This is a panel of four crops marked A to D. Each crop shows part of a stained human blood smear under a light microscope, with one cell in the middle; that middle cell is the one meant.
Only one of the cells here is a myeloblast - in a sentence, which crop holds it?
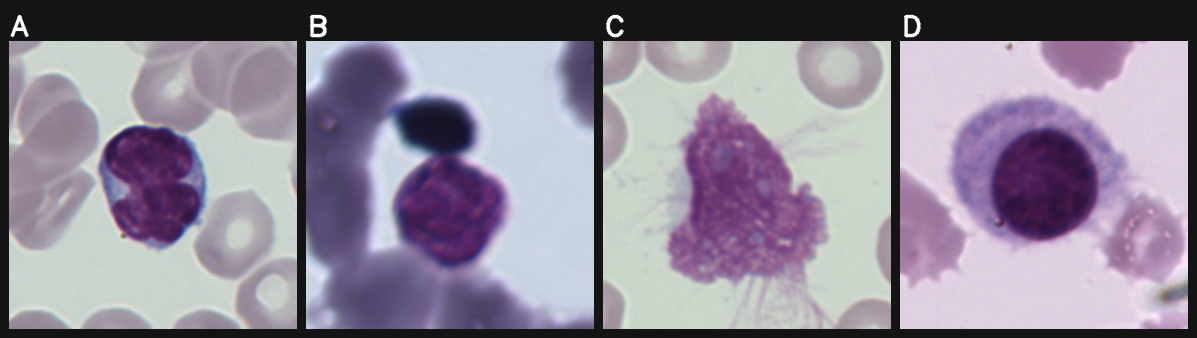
Crop B is identified as the crop showing a myeloblast.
